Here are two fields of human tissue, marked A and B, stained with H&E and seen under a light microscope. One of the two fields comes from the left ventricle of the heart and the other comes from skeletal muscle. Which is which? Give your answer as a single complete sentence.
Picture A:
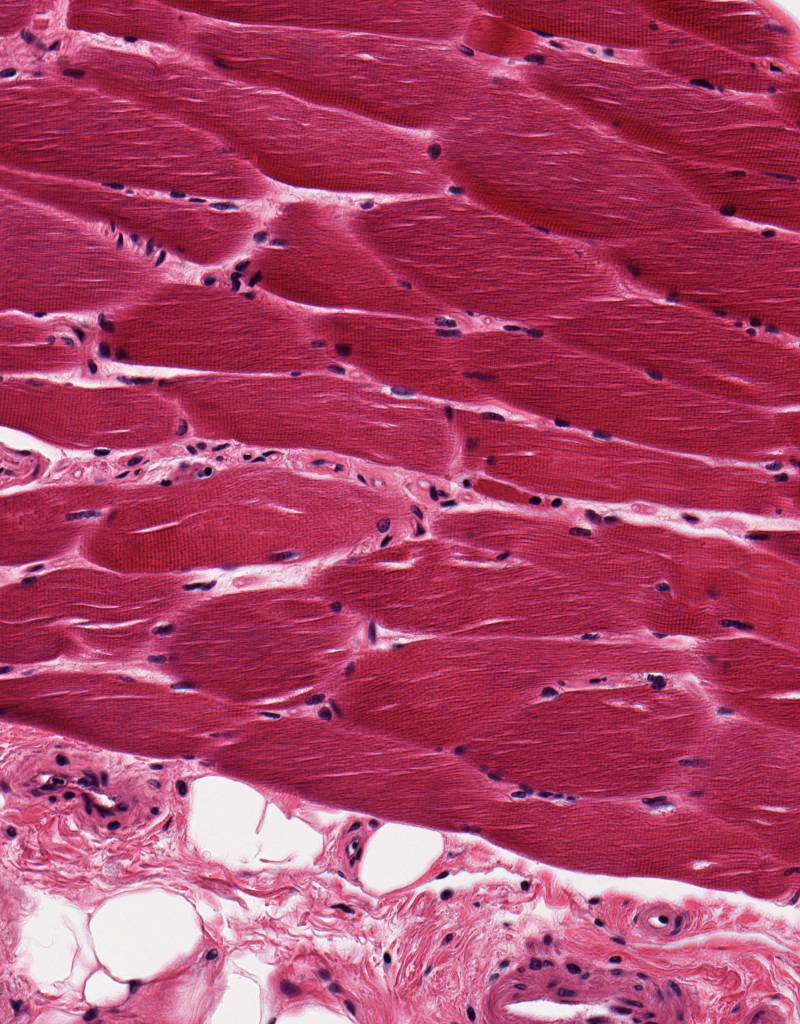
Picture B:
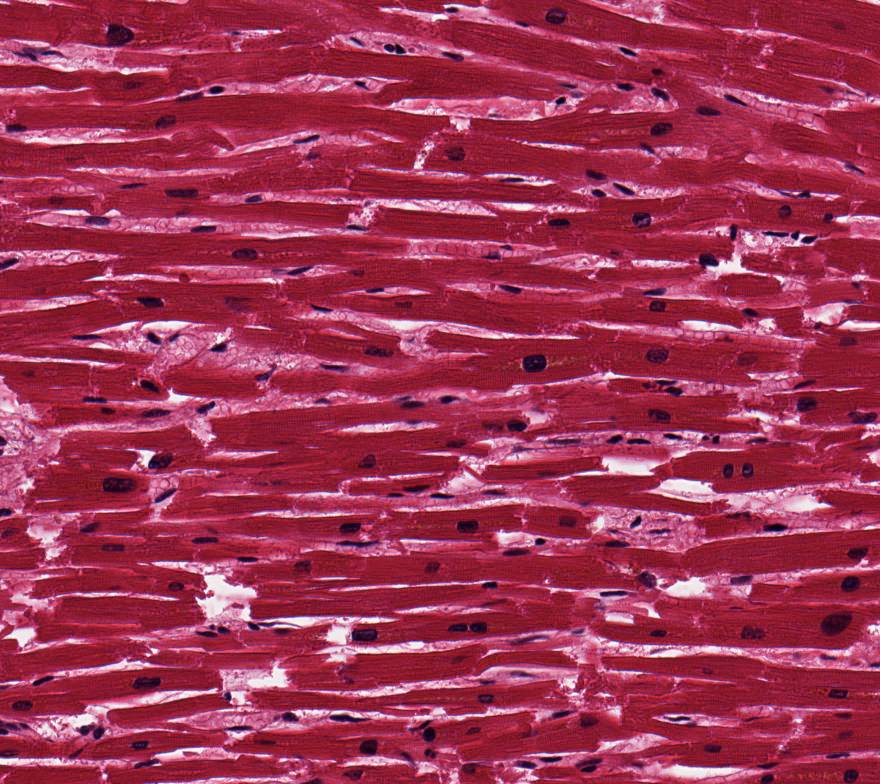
Picture A comes from skeletal muscle; picture B comes from the left ventricle of the heart.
